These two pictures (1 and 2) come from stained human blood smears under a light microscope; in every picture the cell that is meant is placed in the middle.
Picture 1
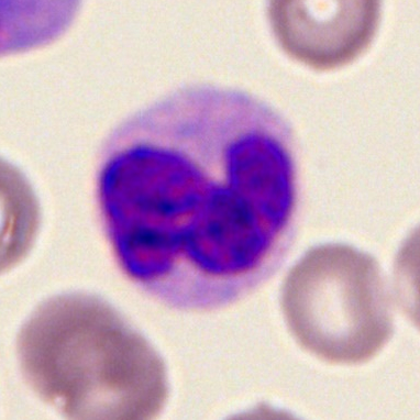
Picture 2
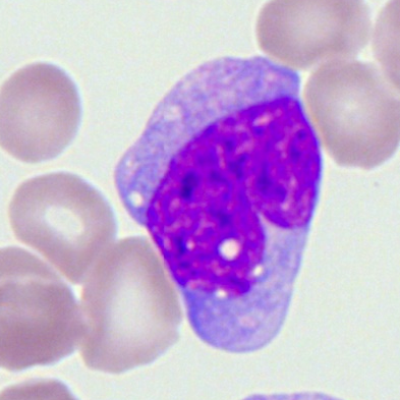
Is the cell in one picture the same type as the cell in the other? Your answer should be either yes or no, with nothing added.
yes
